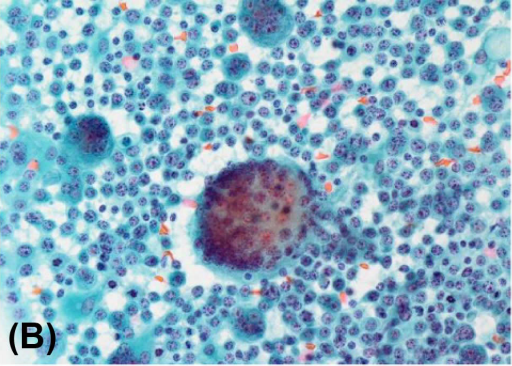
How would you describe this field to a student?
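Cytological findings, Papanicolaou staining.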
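Cytology smear with a giant multinucleated cell among numerous discohesive mononuclear cells. The giant cell is round, many times the diameter of its neighbours, with dense reddish-brown cytoplasm crowded with dozens of small dark nuclei. A smaller multinucleated cell lies to its upper left. Background cells are small to medium, round, with round nuclei and scant pale cytoplasm, lying singly. Scattered small orange-red erythrocytes and blue-green background material lie between them.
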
